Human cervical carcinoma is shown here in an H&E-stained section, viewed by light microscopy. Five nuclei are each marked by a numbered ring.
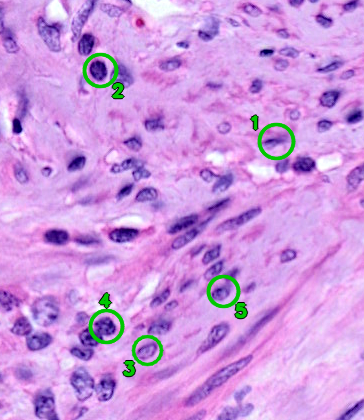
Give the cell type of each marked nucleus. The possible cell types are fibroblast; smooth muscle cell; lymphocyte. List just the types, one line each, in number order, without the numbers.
smooth muscle cell
lymphocyte
smooth muscle cell
lymphocyte
smooth muscle cell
